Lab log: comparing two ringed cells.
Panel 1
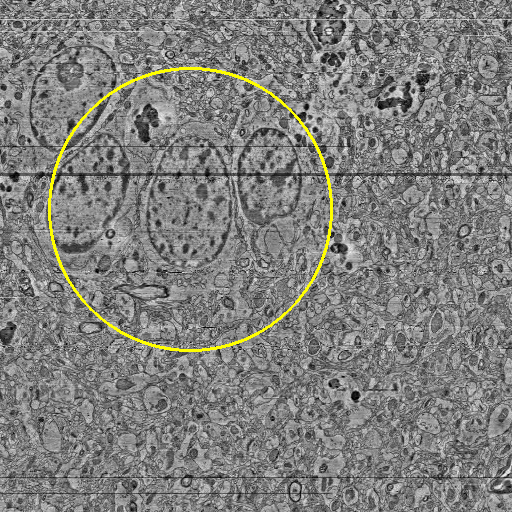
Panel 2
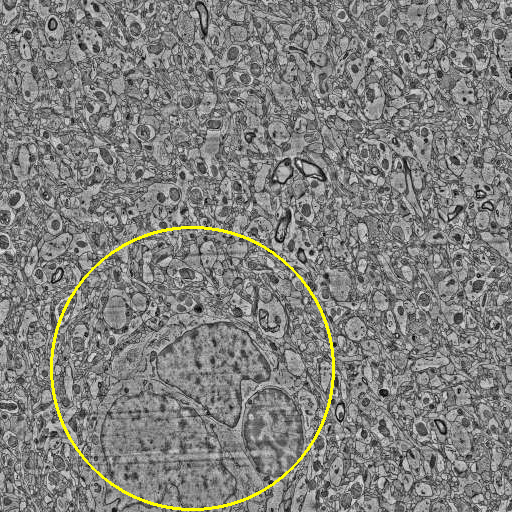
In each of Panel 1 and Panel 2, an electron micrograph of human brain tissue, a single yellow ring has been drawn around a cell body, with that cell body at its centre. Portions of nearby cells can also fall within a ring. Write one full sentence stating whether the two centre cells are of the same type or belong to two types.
The cells at the ring centres in Panel 1 and Panel 2 belong to two types.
